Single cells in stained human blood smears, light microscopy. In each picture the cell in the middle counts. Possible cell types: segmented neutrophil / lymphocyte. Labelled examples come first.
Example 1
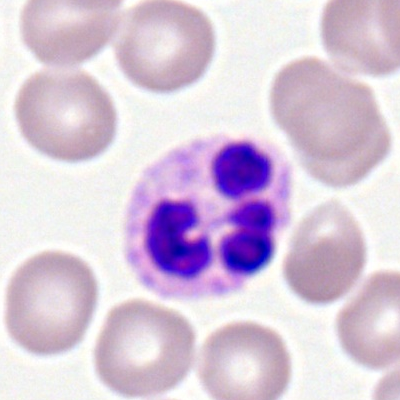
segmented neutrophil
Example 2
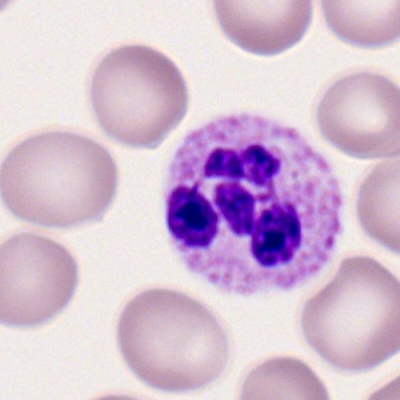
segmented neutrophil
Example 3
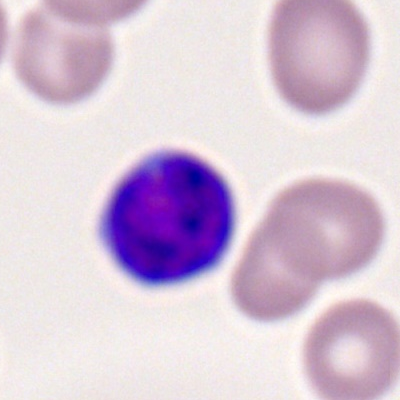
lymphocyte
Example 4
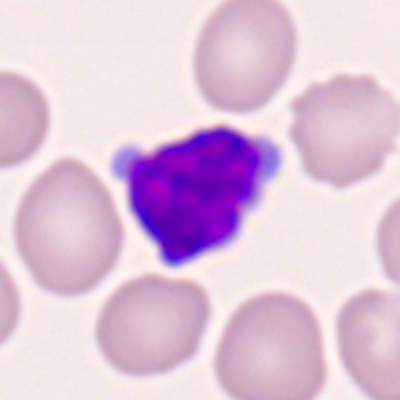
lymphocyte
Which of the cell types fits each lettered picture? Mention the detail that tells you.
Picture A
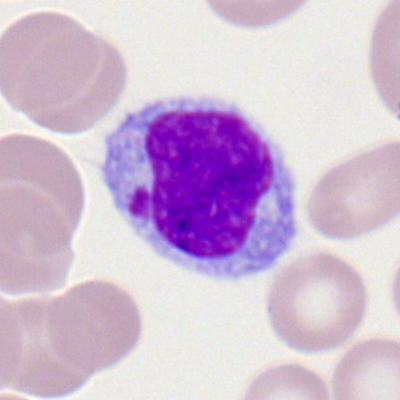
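lymphocyte. Evidence: The nucleus fills most of the cell.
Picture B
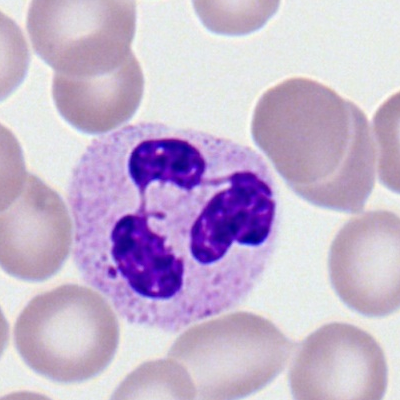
segmented neutrophil. Evidence: The nucleus is divided into three separate lobes.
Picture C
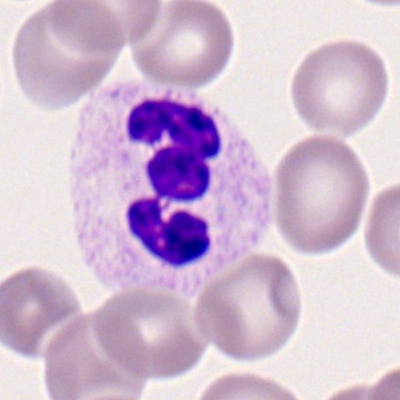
segmented neutrophil. Evidence: The cytoplasm is abundant and pale pinkish-lilac.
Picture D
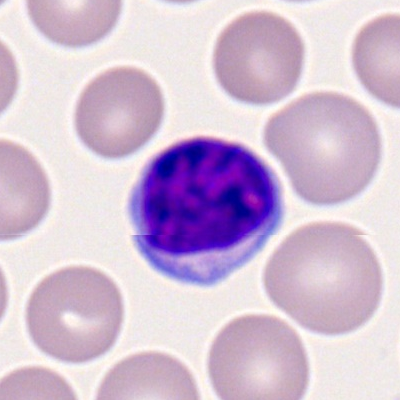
lymphocyte. Evidence: The cytoplasm is a narrow rim that is widest along the lower edge of the cell.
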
